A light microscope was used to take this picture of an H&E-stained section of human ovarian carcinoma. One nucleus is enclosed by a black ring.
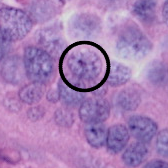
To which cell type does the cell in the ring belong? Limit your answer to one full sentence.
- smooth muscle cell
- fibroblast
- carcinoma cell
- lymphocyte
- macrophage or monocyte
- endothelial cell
In cellular terms, the cell in the ring is a carcinoma cell.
